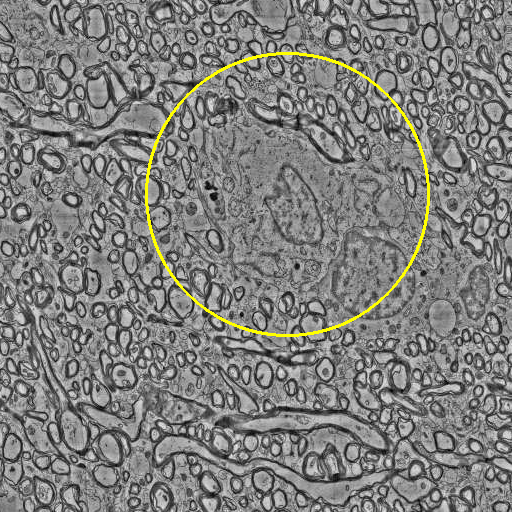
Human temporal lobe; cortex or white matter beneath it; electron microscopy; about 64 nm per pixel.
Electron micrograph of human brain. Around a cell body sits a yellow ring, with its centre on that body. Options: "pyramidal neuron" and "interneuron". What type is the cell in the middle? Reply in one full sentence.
The cell sitting at the centre of the yellow ring is a pyramidal neuron.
